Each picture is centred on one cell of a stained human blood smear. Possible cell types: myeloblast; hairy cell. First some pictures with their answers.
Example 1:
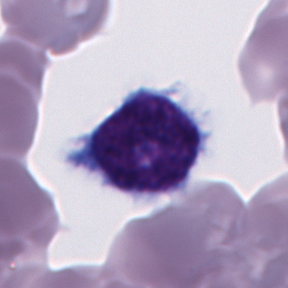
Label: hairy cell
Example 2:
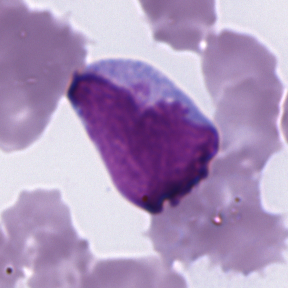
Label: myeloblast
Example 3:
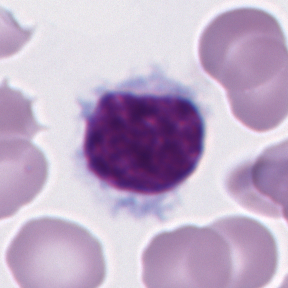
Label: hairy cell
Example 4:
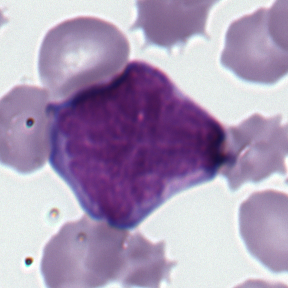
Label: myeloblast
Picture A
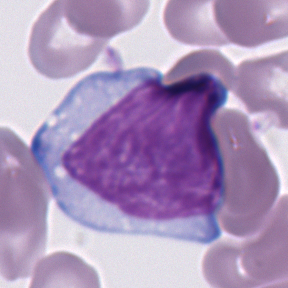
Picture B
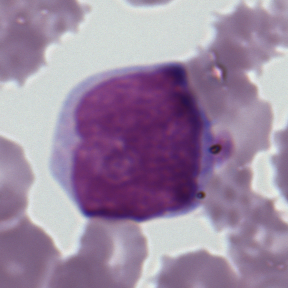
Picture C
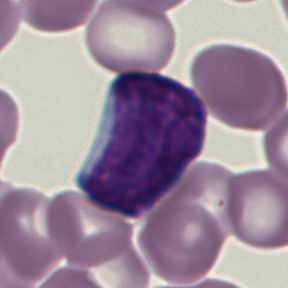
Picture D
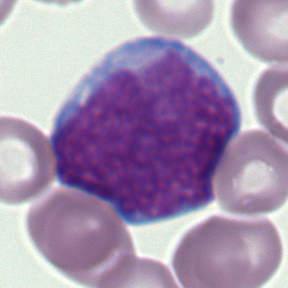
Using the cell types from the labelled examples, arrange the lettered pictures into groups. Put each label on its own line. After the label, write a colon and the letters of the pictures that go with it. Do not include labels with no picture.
myeloblast: A, B, C, D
